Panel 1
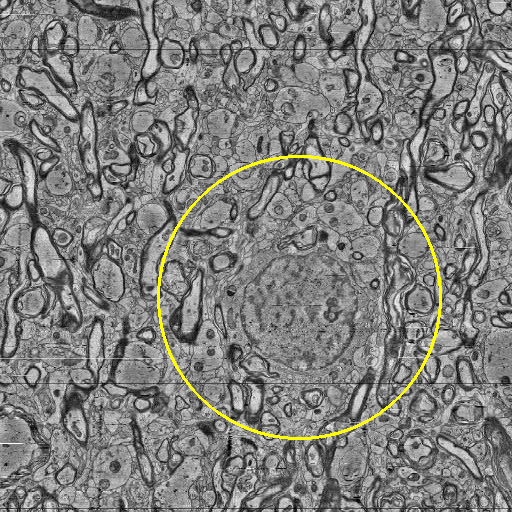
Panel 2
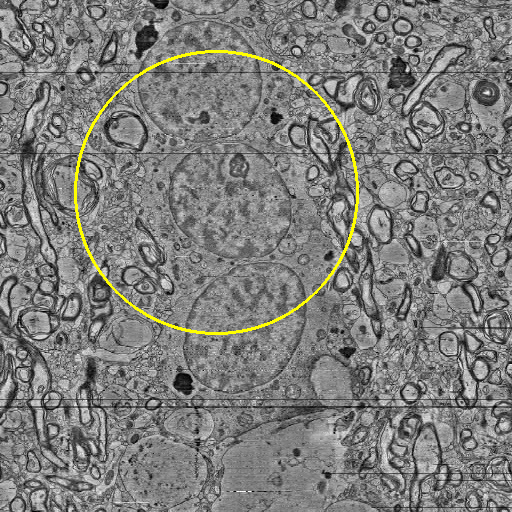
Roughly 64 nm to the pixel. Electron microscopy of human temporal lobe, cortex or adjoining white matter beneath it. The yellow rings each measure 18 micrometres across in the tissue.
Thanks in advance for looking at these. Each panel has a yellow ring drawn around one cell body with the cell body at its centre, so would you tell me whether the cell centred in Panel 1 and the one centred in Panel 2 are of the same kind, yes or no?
yes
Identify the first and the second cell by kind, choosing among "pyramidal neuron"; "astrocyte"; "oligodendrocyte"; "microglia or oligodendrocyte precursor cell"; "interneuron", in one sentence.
In each picture the ringed cell is an oligodendrocyte.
